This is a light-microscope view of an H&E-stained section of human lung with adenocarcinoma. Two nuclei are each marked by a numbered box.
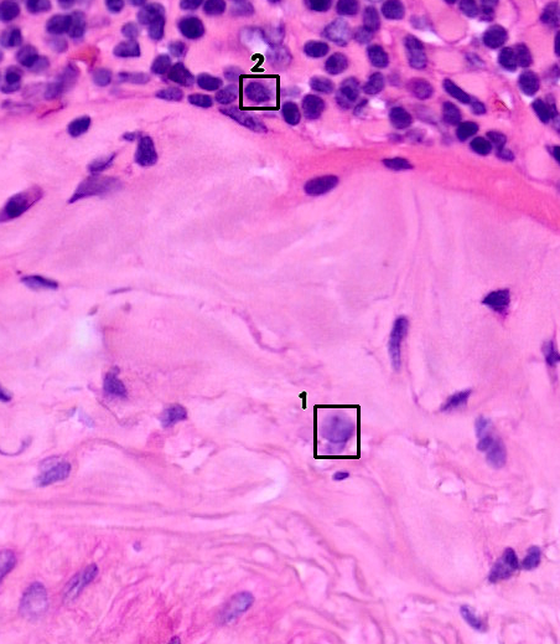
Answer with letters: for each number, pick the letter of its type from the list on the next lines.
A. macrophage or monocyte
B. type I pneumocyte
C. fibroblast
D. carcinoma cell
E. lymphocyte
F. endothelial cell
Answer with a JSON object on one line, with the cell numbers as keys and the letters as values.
{"1": "C", "2": "E"}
